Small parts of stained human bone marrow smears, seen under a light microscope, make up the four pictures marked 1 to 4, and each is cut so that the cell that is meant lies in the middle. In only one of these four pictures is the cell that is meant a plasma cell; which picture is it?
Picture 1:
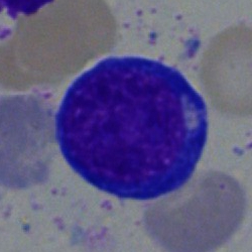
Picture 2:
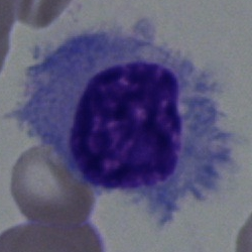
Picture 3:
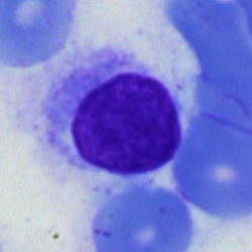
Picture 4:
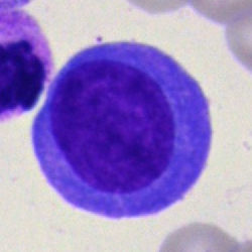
4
